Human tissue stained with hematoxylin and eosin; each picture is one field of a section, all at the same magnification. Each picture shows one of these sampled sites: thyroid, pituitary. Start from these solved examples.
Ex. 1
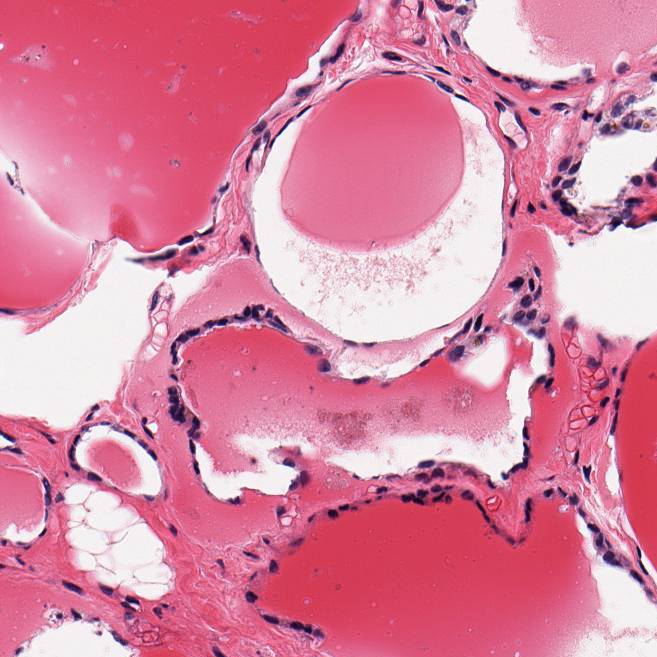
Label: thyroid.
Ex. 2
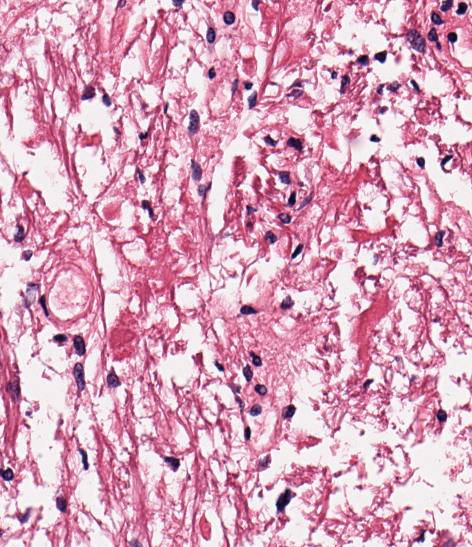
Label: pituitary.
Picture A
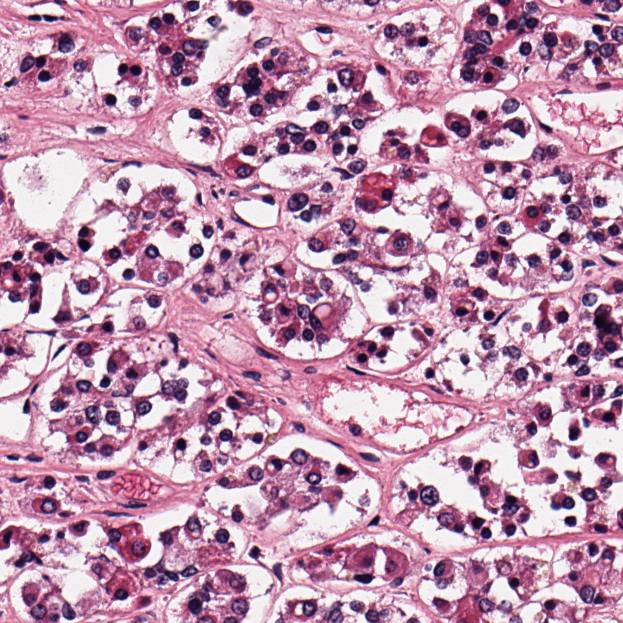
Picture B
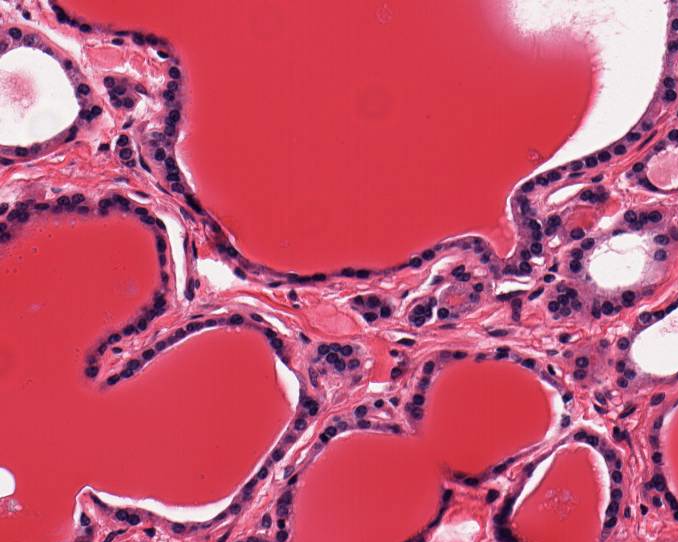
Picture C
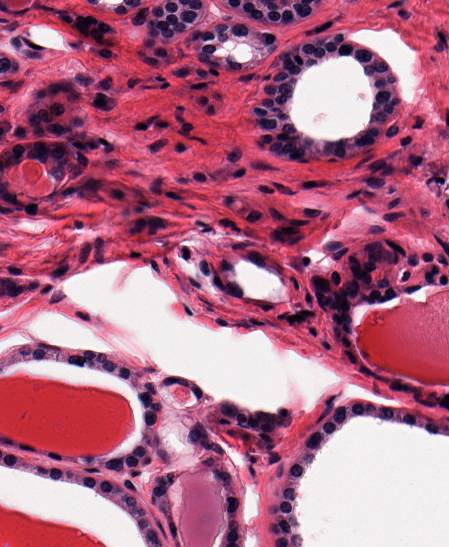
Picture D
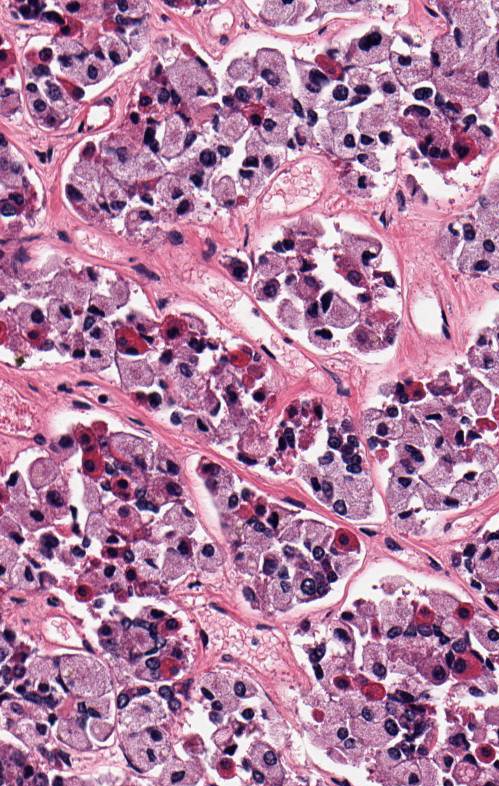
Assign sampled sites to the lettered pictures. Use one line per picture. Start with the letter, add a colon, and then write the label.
A: pituitary.
B: thyroid.
C: thyroid.
D: pituitary.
